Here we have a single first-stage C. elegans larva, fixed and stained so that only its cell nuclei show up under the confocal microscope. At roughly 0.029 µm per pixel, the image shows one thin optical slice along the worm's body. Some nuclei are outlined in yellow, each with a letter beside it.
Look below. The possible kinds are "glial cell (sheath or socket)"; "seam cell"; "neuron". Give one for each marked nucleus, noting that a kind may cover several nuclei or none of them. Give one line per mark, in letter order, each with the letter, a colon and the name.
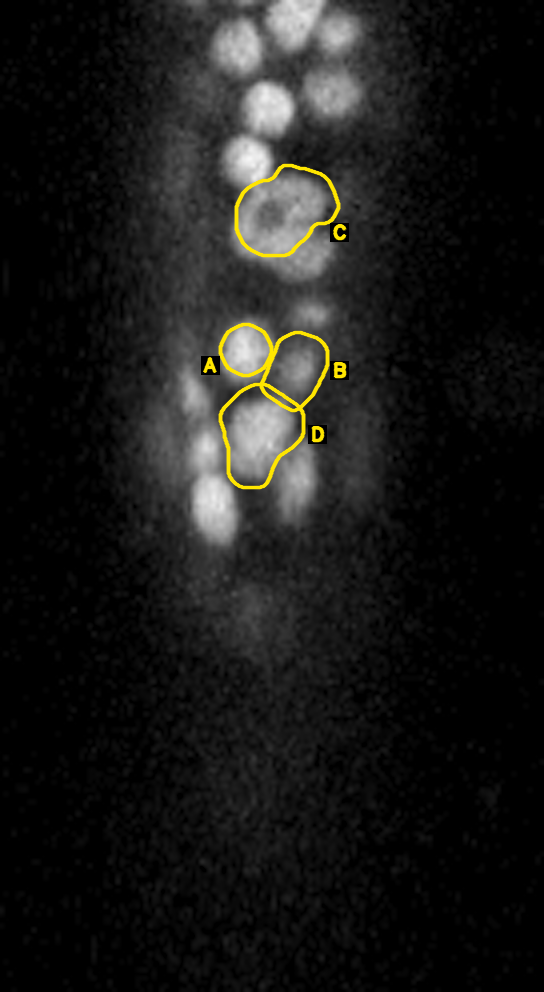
A: neuron
B: neuron
C: seam cell
D: neuron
